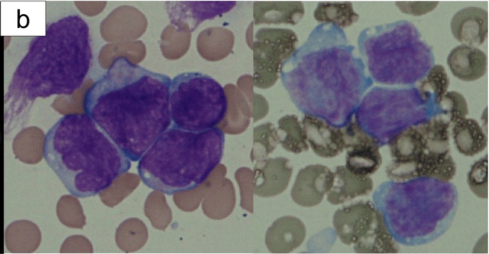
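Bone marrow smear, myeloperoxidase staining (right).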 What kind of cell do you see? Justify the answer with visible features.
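Blast cells. Large cells whose purple nucleus fills most of the cell. Finely granular, open nuclear chromatin. The cells are much larger than the surrounding red blood cells.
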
